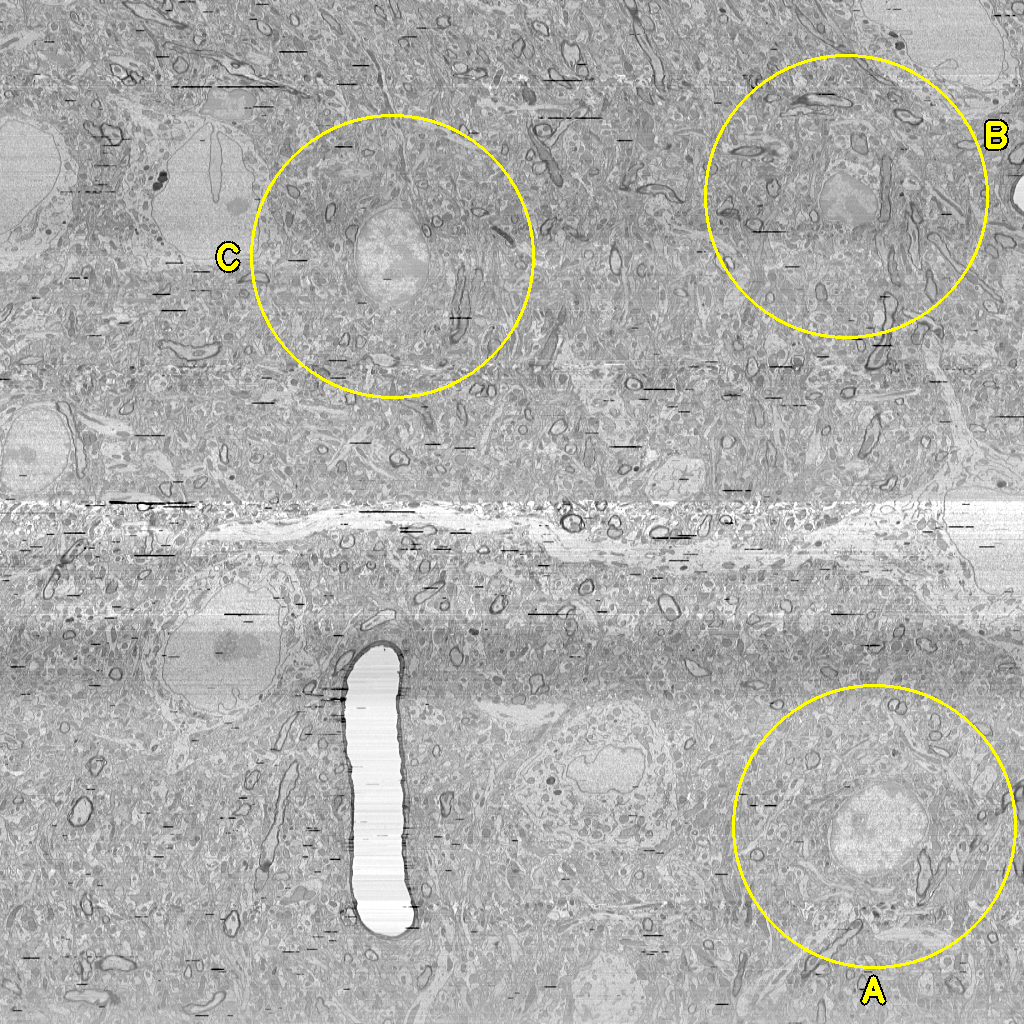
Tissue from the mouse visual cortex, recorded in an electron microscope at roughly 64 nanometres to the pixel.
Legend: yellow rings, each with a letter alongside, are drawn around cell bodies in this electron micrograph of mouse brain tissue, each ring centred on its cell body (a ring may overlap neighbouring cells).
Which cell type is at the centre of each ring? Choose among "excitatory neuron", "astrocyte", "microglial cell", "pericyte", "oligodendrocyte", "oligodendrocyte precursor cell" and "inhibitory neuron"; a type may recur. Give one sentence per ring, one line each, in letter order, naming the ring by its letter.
Ring A has an oligodendrocyte at its centre.
Ring B has a microglial cell at its centre.
Ring C has an oligodendrocyte at its centre.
